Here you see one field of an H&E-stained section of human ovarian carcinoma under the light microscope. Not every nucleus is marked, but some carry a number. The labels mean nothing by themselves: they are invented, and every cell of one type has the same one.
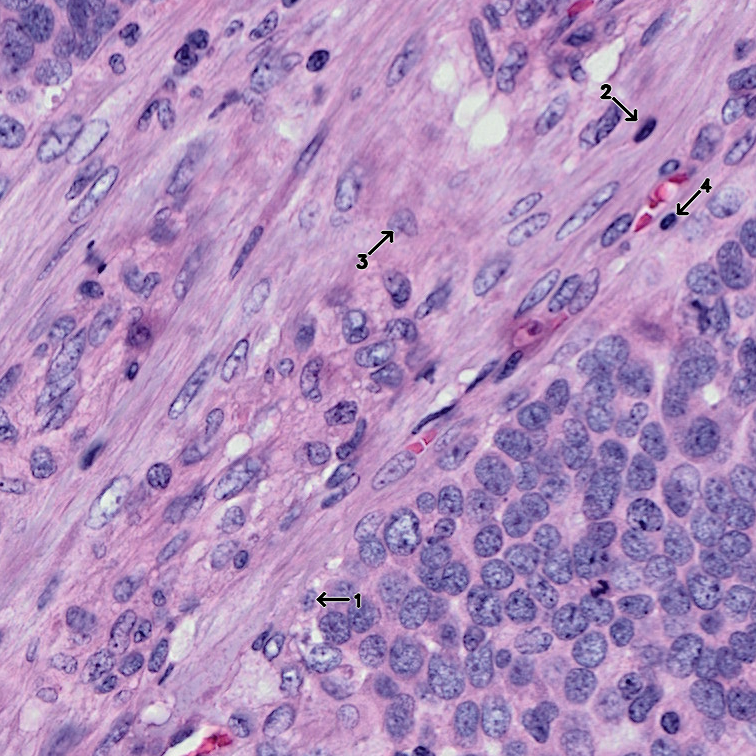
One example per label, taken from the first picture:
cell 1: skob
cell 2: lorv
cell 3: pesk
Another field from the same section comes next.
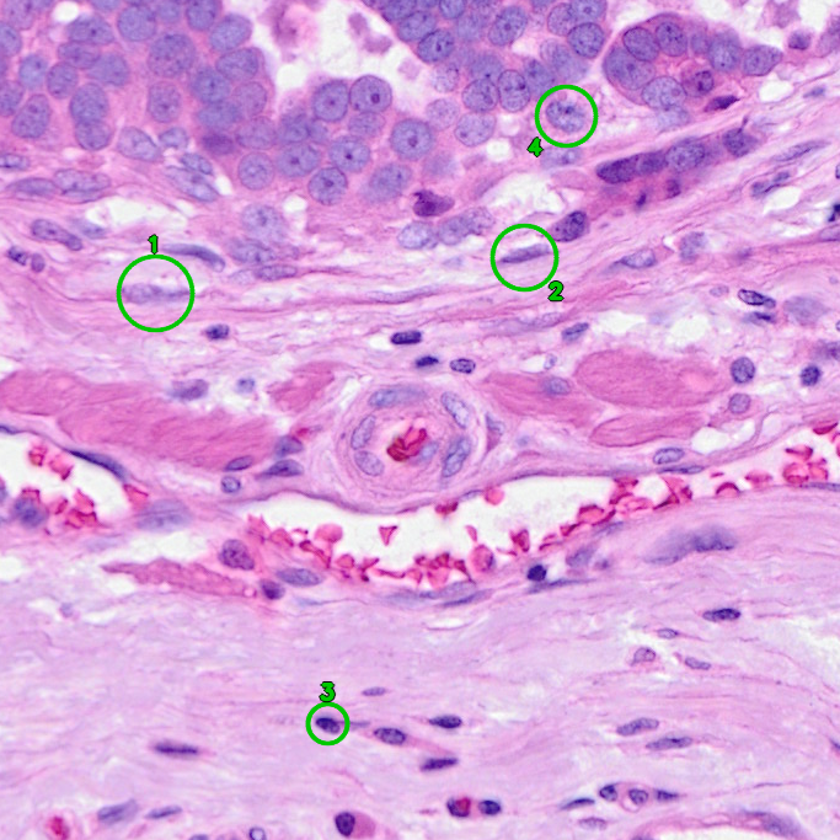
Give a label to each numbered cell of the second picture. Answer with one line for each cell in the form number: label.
1: pesk
2: pesk
3: lorv
4: skob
